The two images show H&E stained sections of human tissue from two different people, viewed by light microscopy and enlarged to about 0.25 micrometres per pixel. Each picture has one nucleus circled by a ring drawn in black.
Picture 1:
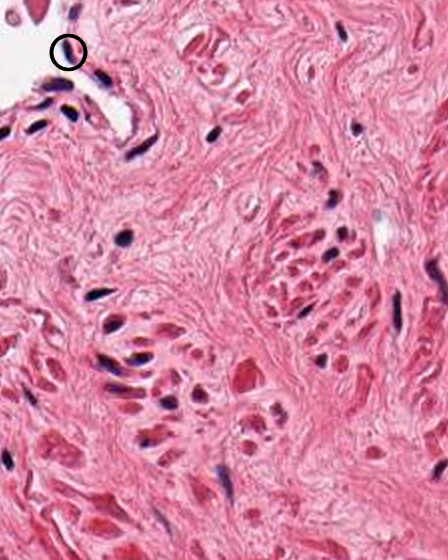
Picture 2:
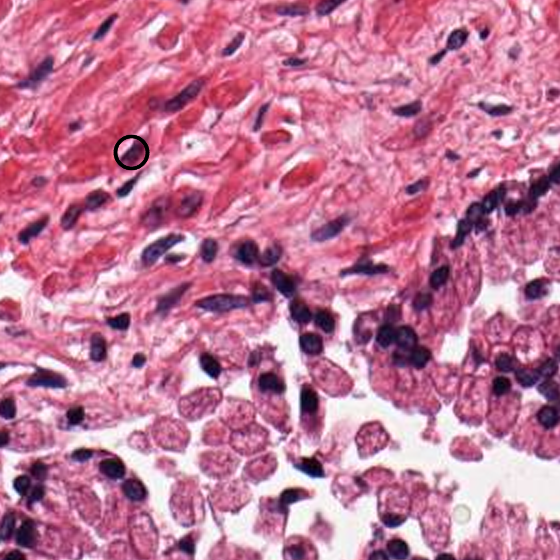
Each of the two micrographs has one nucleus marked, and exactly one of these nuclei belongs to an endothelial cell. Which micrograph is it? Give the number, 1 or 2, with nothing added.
1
